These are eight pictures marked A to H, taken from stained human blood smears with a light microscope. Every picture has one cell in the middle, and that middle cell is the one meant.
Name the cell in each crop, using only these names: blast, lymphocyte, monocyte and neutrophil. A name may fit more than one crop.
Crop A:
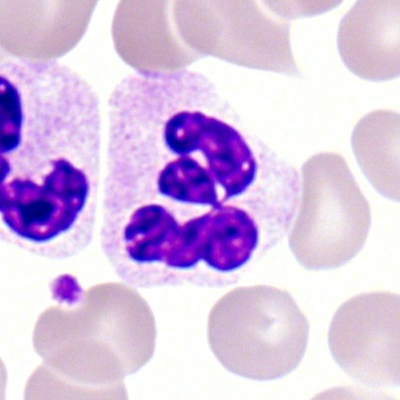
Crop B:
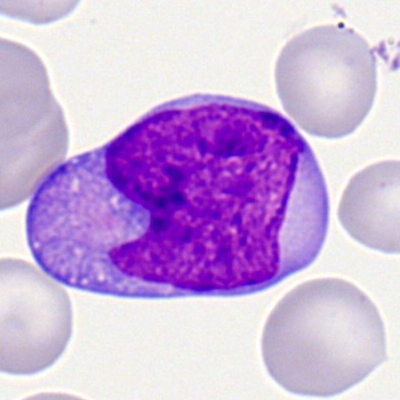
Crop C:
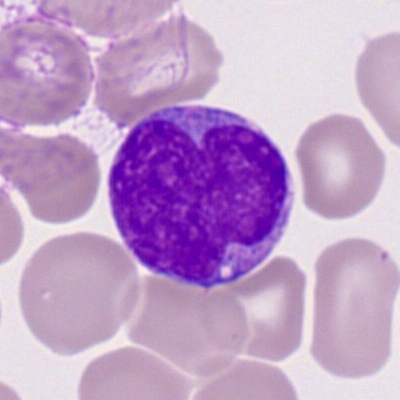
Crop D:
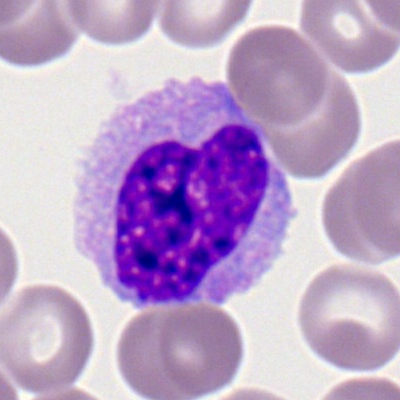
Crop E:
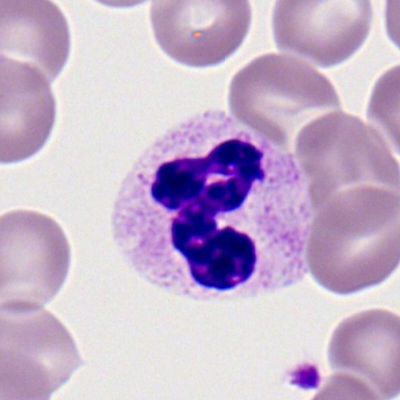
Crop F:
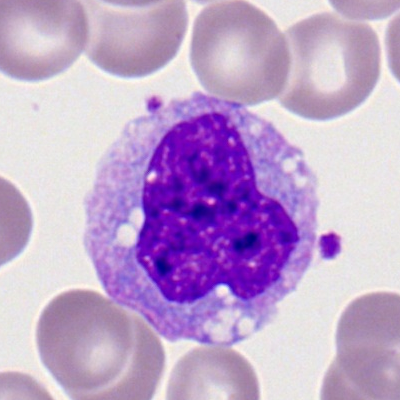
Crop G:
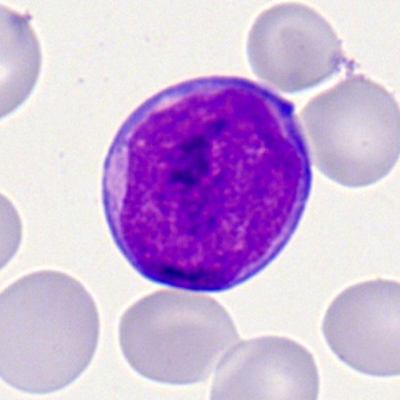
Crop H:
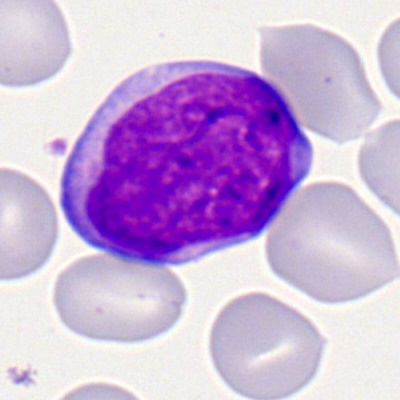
A: neutrophil
B: blast
C: blast
D: monocyte
E: neutrophil
F: monocyte
G: blast
H: blast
